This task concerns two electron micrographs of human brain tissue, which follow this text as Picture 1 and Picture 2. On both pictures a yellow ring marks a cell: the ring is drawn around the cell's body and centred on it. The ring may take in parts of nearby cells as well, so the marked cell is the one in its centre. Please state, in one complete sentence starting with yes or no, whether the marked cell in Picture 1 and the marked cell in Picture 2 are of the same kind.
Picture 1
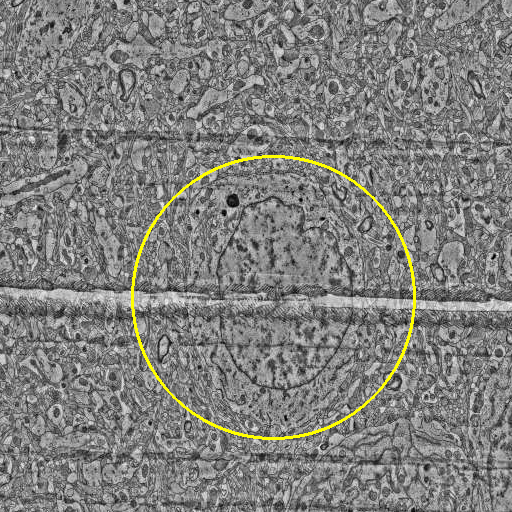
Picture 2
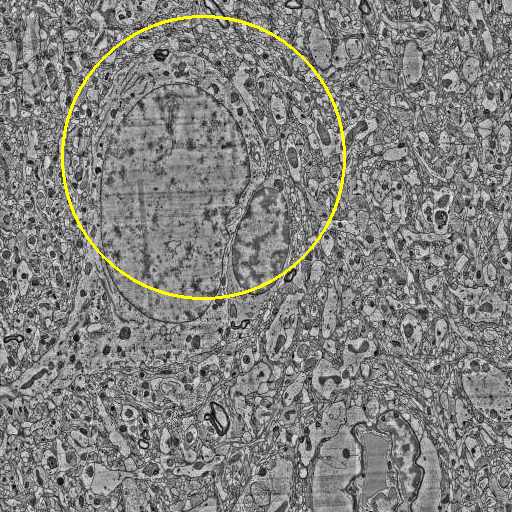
Yes, the marked cells in both pictures are of the same kind.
